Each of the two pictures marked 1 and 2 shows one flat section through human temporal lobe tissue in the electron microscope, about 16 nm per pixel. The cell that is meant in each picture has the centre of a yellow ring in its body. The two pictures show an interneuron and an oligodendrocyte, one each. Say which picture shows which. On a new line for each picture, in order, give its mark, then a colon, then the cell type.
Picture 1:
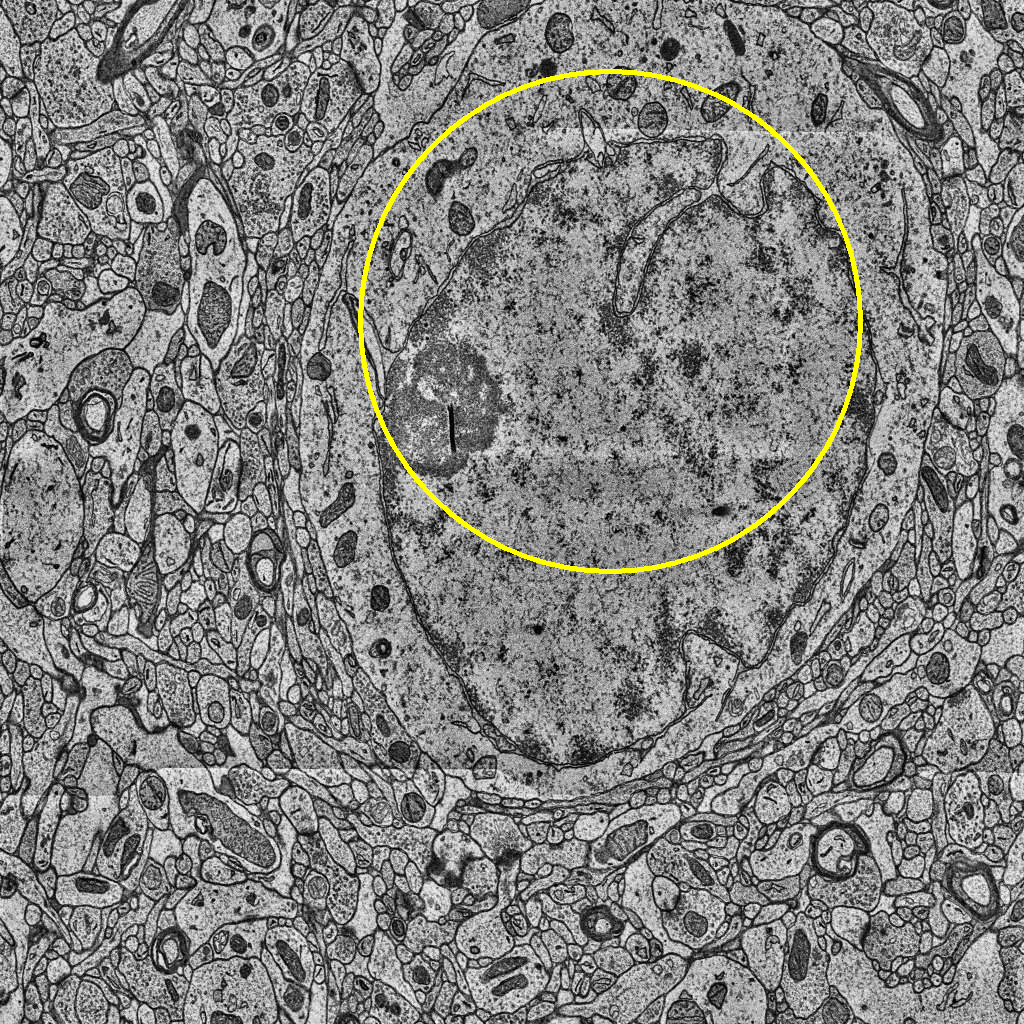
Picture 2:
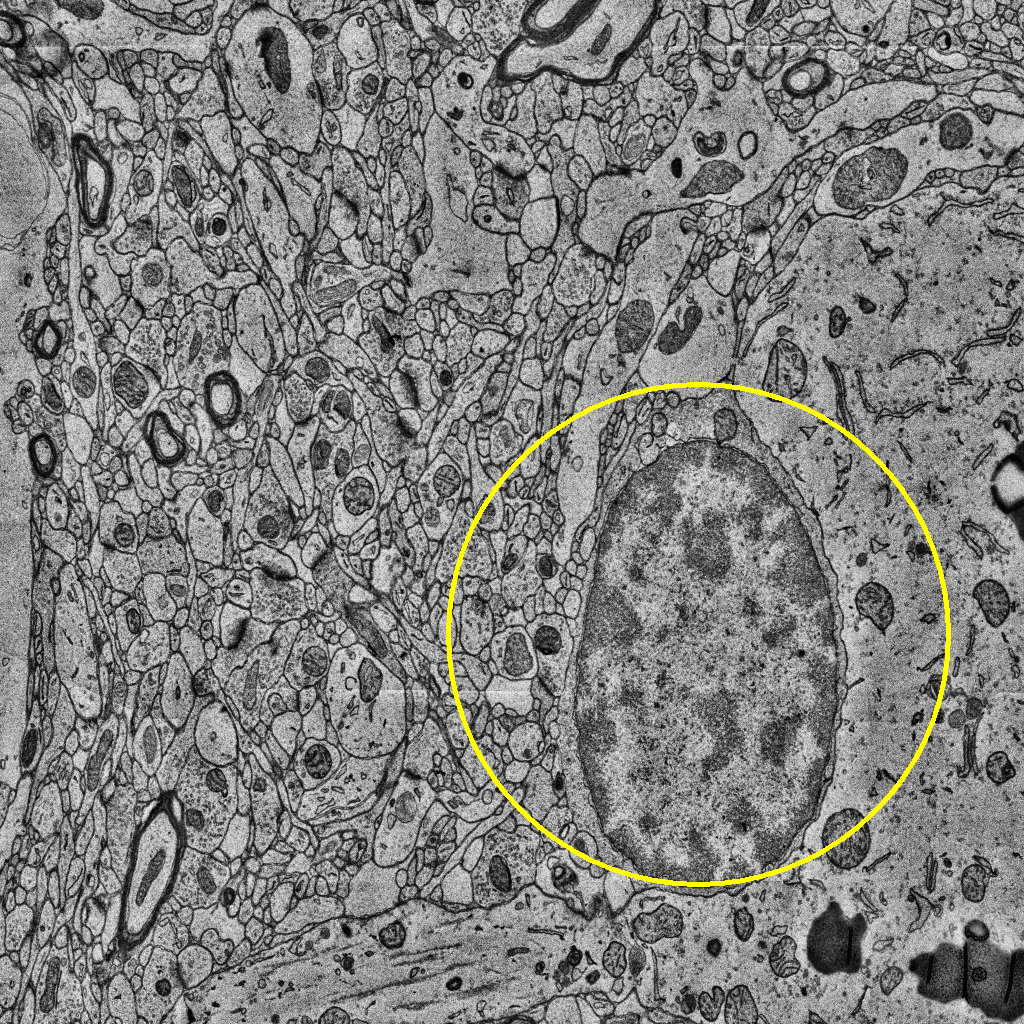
1: interneuron
2: oligodendrocyte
